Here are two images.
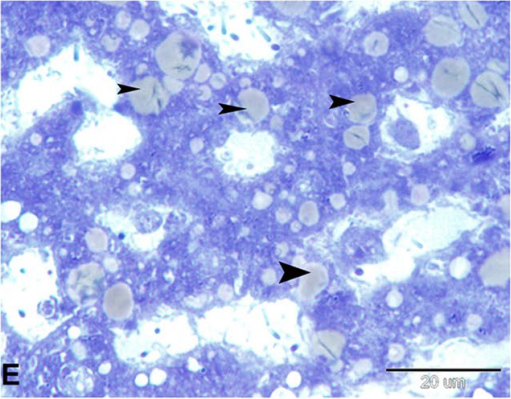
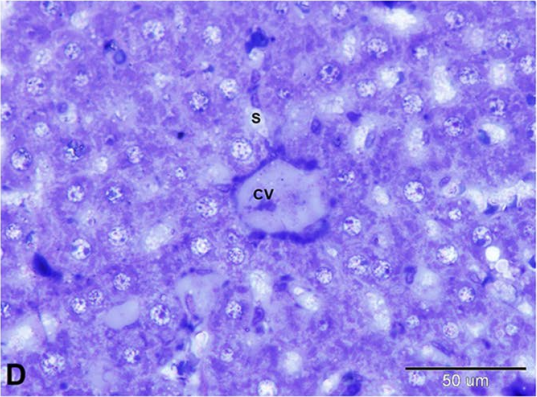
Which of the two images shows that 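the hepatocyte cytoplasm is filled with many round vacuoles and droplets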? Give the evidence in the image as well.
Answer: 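The first image. First image: numerous round pale droplets and clear spaces crowd the cytoplasm and distort the cells. Second image: hepatocytes have evenly stained cytoplasm with round nuclei and no droplets.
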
